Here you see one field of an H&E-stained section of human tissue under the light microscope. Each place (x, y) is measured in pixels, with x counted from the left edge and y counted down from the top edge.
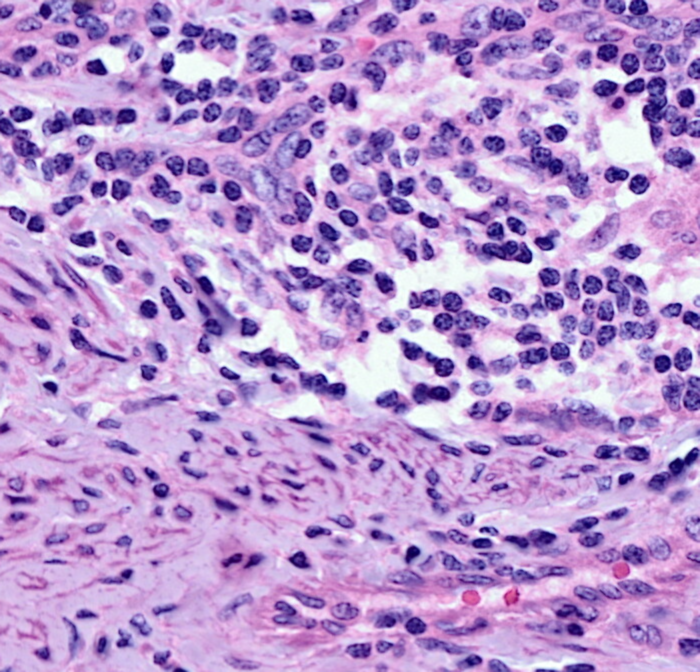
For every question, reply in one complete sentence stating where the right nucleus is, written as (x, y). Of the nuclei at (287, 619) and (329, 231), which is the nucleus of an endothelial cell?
Identified as belonging to an endothelial cell is the nucleus at (287, 619).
